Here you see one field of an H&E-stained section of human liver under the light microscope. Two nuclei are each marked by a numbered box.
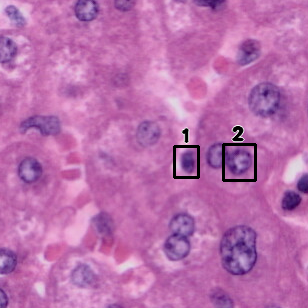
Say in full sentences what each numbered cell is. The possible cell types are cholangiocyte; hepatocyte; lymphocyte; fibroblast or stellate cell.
Cell 1 is a lymphocyte and cell 2 is a hepatocyte.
